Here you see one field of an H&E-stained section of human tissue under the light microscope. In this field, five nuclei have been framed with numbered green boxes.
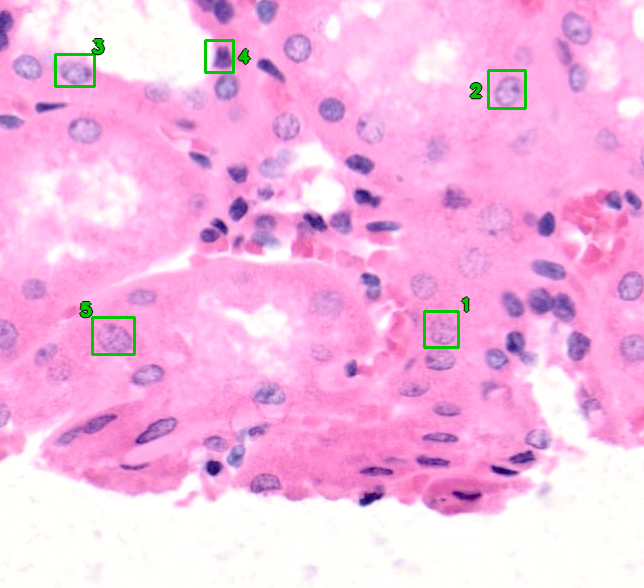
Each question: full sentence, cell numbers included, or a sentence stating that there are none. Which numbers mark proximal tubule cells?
Within the section, cells numbered 1, 2 and 5 are proximal tubule cells.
